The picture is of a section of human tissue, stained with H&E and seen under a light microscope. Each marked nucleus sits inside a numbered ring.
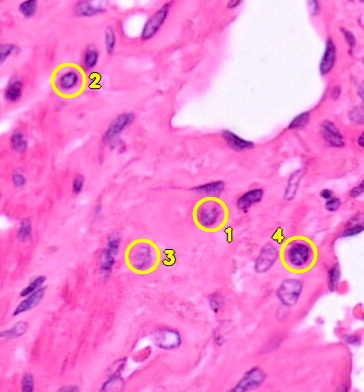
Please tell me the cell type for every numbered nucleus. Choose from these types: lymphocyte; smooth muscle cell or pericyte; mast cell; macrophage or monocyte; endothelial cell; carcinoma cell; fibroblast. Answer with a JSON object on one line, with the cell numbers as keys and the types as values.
{"1": "mast cell", "2": "mast cell", "3": "fibroblast", "4": "mast cell"}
